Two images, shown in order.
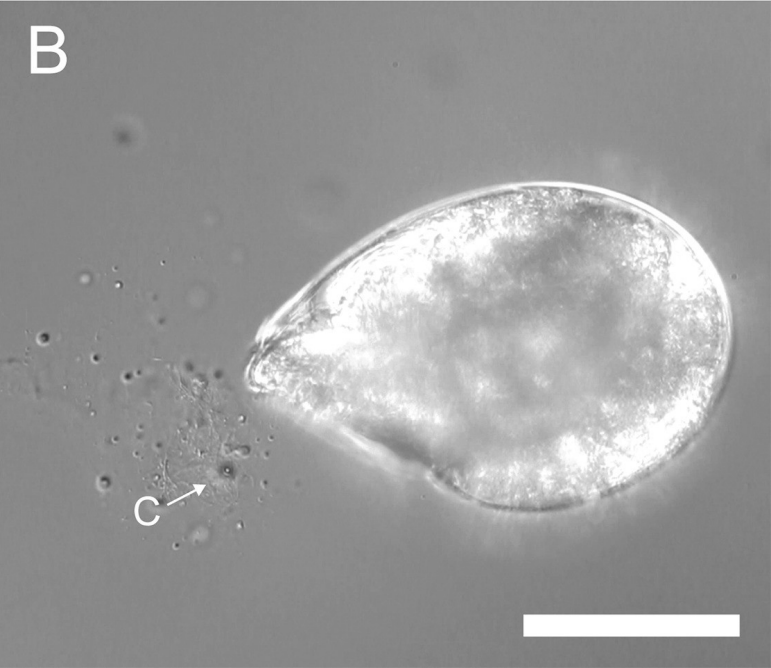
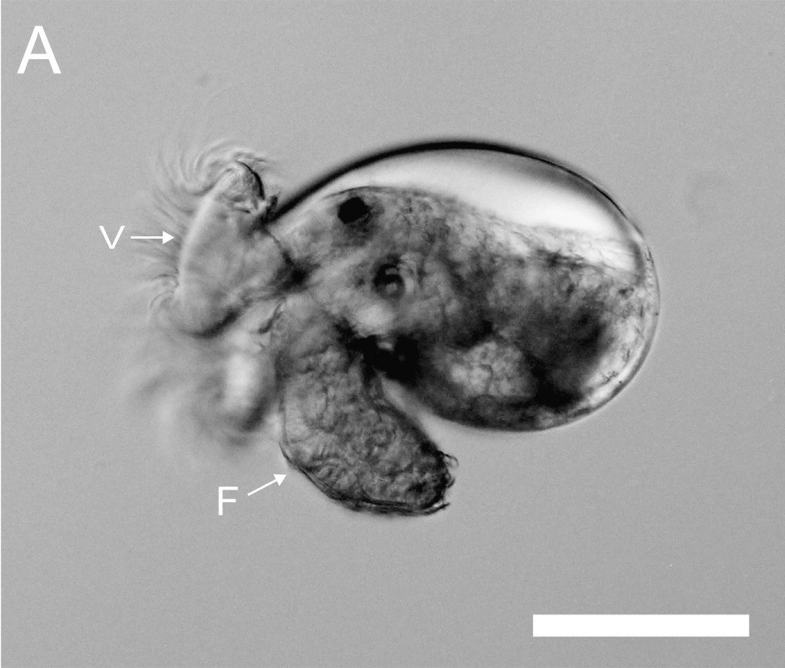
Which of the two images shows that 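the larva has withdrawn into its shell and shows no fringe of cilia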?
the first image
